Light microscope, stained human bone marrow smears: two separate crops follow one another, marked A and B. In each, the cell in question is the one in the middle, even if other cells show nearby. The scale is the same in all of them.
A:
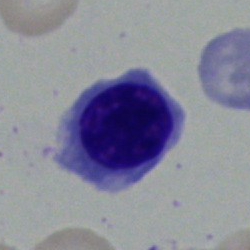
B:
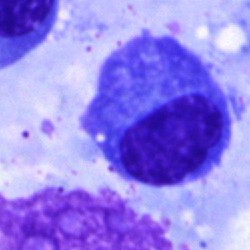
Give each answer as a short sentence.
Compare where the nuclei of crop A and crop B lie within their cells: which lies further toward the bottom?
It is the nucleus in crop B that lies further toward the bottom of its cell.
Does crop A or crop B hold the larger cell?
Crop B holds the larger cell; it covers about 1.5 times the area of the cell in crop A.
